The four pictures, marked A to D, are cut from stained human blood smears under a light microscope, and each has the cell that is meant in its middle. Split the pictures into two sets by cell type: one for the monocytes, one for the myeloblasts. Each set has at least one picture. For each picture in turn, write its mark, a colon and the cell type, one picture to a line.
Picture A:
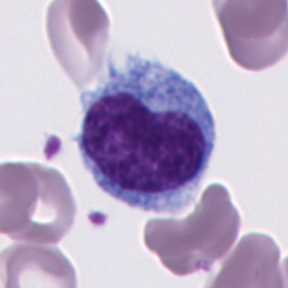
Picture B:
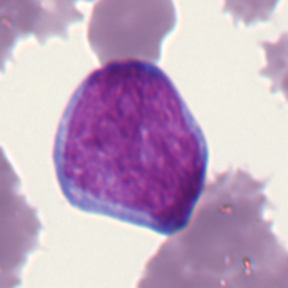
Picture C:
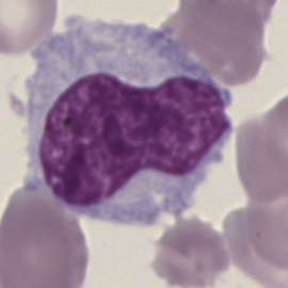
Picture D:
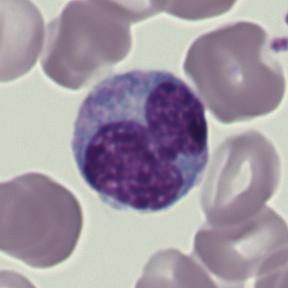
A: monocyte
B: myeloblast
C: monocyte
D: monocyte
